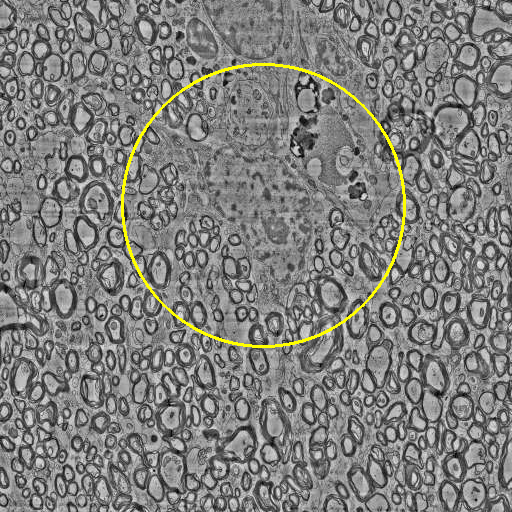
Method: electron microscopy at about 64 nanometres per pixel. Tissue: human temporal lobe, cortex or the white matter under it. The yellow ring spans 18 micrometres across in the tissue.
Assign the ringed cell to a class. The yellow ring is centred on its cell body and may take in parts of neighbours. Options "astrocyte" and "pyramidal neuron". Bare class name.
astrocyte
